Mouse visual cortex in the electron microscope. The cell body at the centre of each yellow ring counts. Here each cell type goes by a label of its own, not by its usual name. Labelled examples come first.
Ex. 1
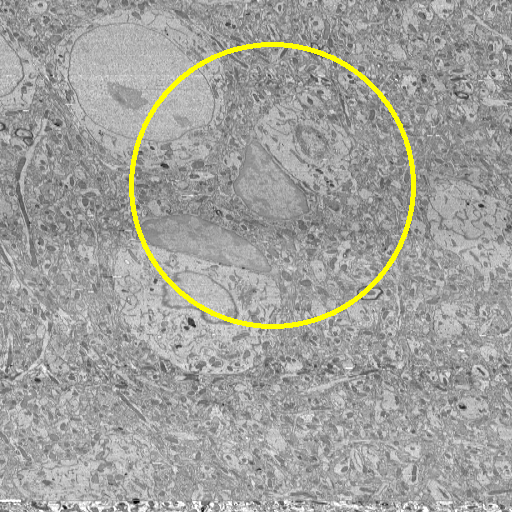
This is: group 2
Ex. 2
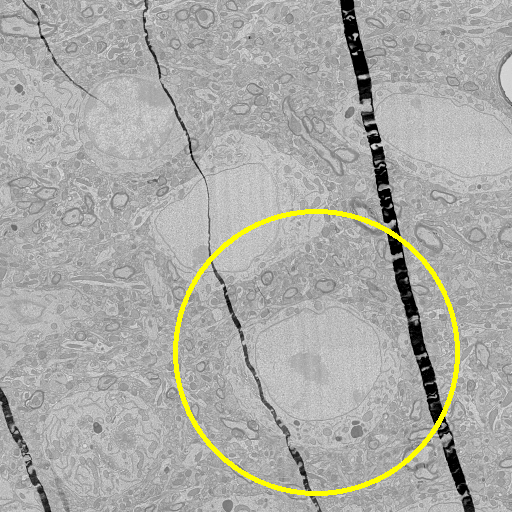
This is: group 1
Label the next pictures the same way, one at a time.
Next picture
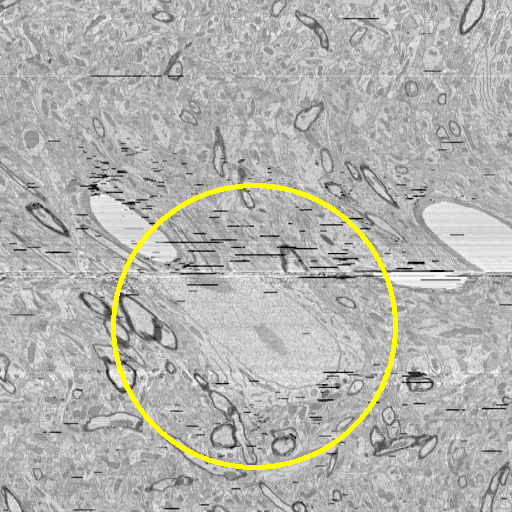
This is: group 1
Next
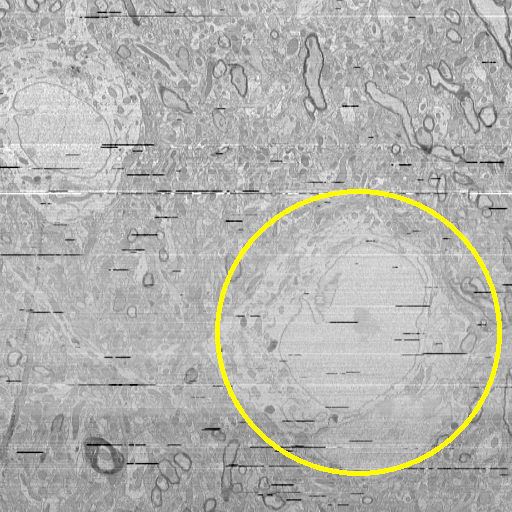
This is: group 1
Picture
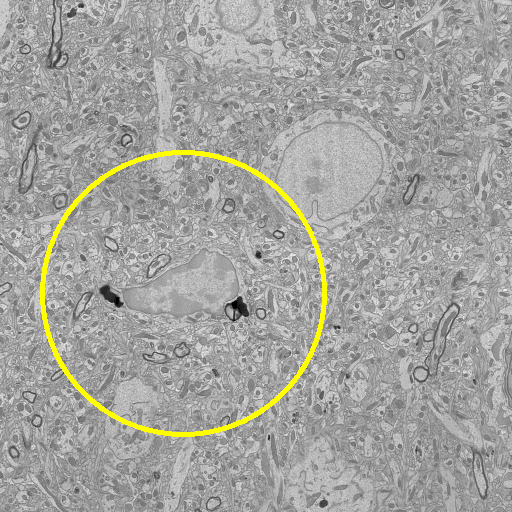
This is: group 2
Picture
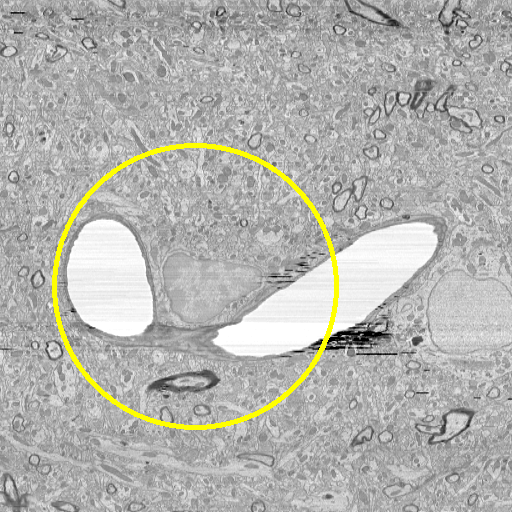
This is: group 2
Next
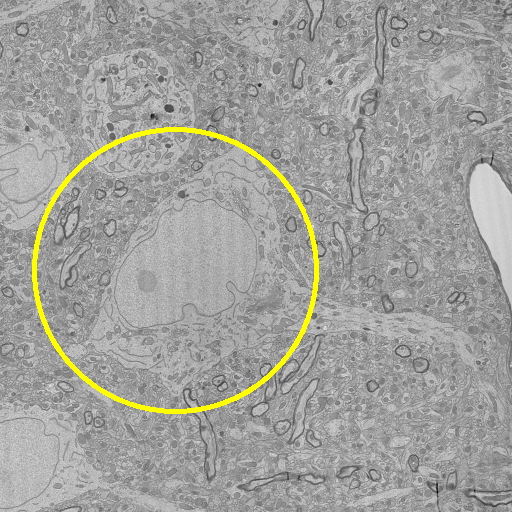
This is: group 1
